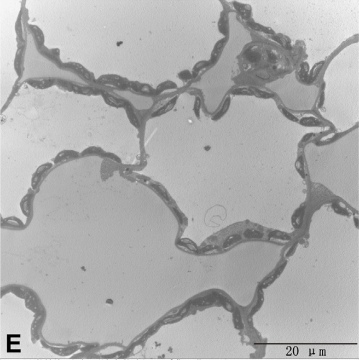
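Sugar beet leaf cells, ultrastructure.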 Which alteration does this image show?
Organelle marginalization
